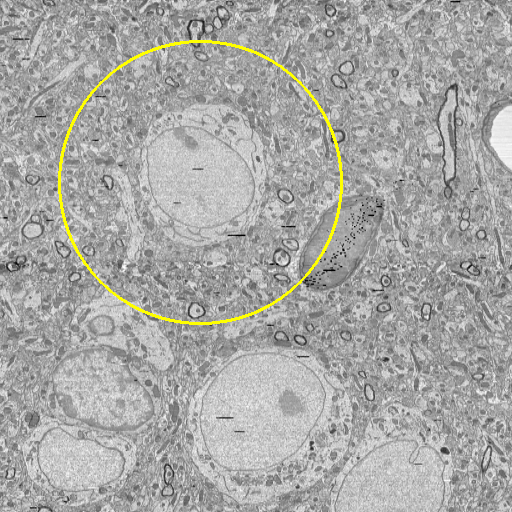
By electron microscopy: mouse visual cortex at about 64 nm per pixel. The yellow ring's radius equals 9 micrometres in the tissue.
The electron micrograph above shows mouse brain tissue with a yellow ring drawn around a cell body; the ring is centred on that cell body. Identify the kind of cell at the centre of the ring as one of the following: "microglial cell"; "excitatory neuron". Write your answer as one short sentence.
The cell at the centre of the ring is an excitatory neuron.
